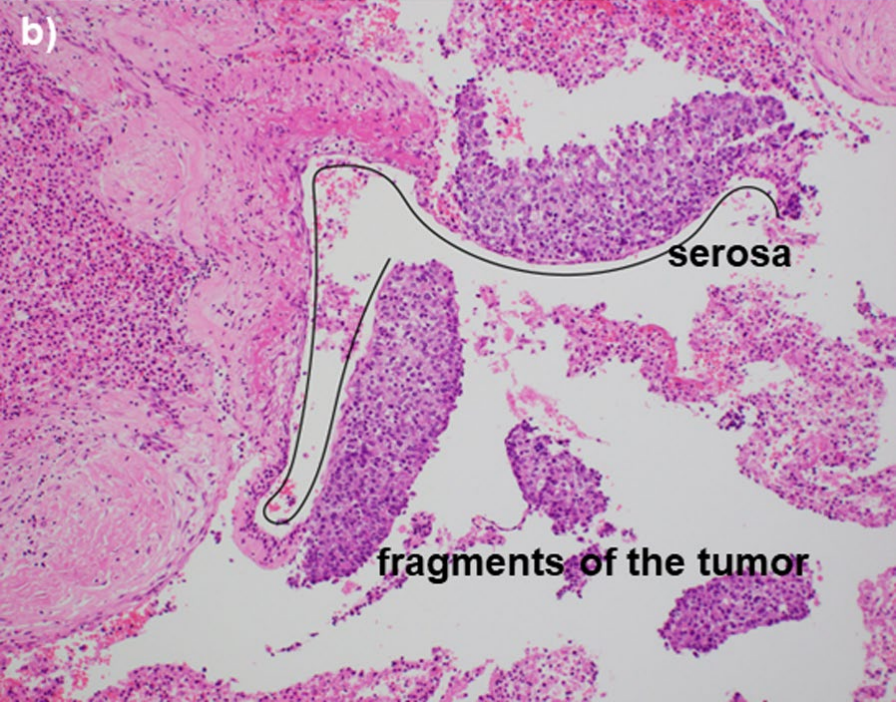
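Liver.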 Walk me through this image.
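The fragments are compact clusters of closely packed cells with dark purple nuclei and only a little pink cytoplasm. To the left lies pale pink, fibrous-looking tissue beside a densely cellular purple area. The open spaces contain scattered red blood cells and loose debris.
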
